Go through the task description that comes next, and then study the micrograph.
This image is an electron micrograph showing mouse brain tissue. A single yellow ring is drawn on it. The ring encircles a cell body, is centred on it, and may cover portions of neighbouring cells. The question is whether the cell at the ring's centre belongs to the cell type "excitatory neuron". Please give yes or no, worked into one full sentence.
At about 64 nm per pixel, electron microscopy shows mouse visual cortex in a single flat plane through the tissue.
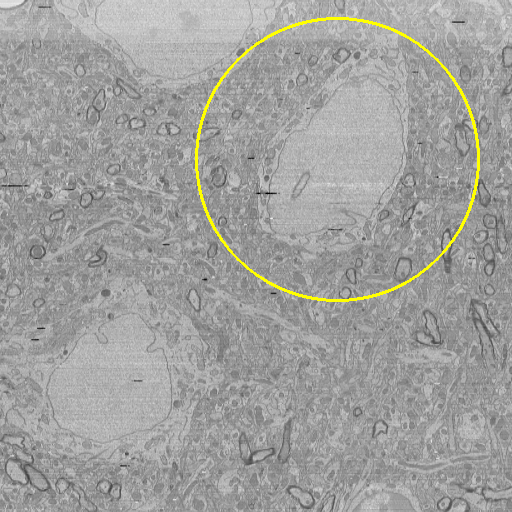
No, the cell that the ring is centred on in the micrograph is of another kind.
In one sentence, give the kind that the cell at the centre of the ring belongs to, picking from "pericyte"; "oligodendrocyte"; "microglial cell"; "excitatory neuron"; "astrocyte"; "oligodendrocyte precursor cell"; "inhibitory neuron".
So the cell at the centre is an inhibitory neuron.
